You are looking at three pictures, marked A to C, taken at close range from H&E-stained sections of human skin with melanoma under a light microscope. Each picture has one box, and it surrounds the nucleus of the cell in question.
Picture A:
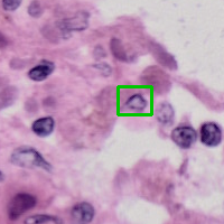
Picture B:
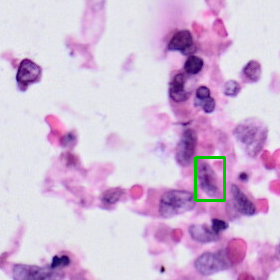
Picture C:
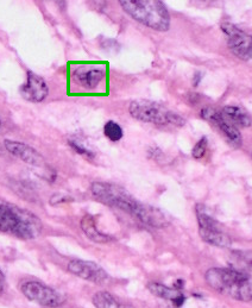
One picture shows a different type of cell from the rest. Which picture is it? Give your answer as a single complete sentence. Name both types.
All pictures except B show “macrophages or monocytes”; picture B shows a melanoma cell.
